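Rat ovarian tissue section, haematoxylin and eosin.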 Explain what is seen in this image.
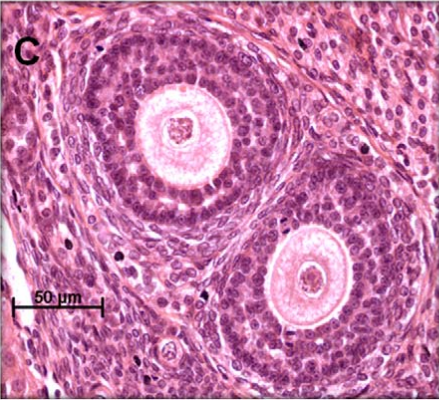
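Around the oocyte stand several layers of closely packed cells with round, dark purple nuclei, arranged in concentric rings. Outside these layers, flattened spindle-shaped cells with elongated nuclei wrap around each follicle and separate it from the surrounding stroma. There is no fluid-filled space among the cells around the oocyte.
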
